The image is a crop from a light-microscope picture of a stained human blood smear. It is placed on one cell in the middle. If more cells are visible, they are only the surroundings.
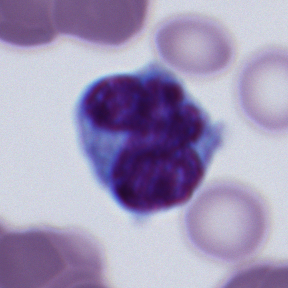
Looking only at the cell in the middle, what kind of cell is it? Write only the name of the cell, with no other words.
monocyte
